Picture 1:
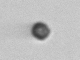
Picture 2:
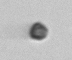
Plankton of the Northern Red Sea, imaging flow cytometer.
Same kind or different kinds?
Same: Gephyrocapsa huxleyi.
